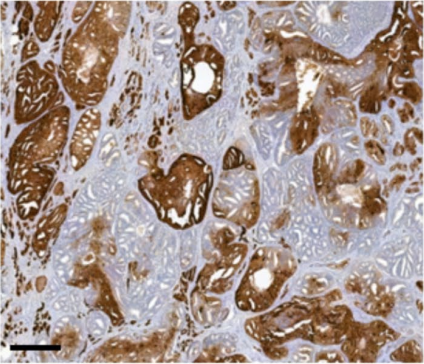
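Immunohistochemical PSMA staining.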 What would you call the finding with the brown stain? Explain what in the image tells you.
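Some glands are dark brown throughout. Neighbouring glands are pale blue with no brown. Brown and unstained glands lie intermingled. That points to this answer: completely negative glands mixed with highly positive glands.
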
